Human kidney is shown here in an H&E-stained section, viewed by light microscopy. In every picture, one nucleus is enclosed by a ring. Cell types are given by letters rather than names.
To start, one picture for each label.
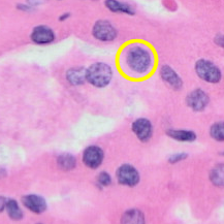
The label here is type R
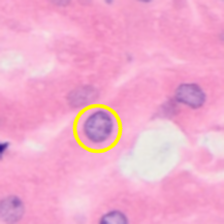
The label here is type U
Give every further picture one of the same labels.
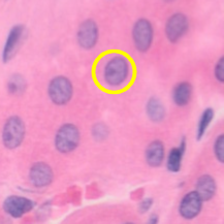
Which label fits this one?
type U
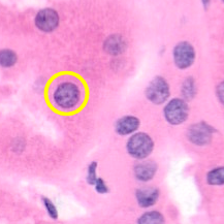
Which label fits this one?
type U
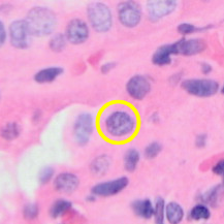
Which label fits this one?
type R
